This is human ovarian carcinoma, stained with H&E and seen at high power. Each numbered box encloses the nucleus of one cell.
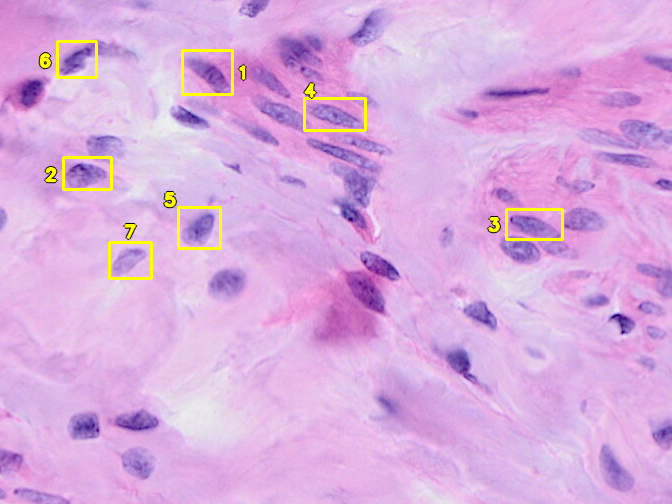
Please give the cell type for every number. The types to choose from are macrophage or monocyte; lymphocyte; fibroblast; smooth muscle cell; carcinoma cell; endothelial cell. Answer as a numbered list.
1. smooth muscle cell
2. fibroblast
3. smooth muscle cell
4. smooth muscle cell
5. fibroblast
6. fibroblast
7. fibroblast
